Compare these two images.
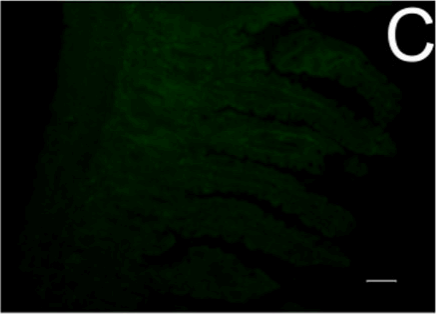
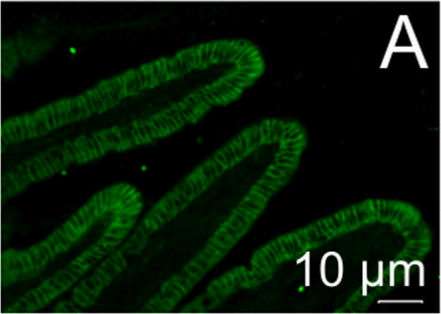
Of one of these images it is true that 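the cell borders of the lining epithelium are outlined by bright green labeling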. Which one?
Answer: the second image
